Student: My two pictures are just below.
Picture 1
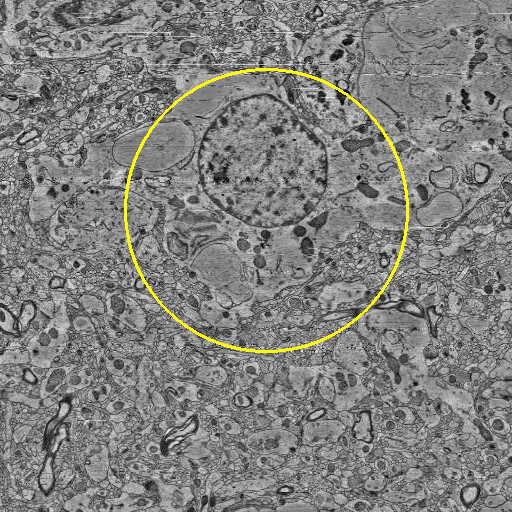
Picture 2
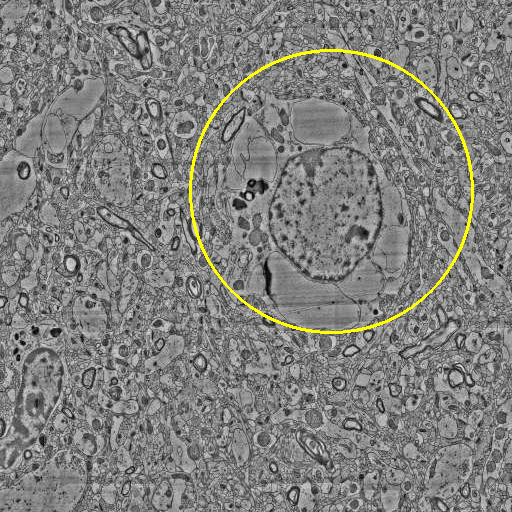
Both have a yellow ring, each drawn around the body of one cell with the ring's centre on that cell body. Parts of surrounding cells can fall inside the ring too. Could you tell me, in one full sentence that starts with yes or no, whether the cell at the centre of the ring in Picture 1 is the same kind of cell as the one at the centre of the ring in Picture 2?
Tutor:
Yes, the two cells are of the same kind.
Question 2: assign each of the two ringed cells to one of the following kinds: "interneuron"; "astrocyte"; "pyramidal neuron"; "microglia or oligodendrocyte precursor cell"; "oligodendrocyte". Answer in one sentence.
Both cells are the same kind, each one being an astrocyte.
